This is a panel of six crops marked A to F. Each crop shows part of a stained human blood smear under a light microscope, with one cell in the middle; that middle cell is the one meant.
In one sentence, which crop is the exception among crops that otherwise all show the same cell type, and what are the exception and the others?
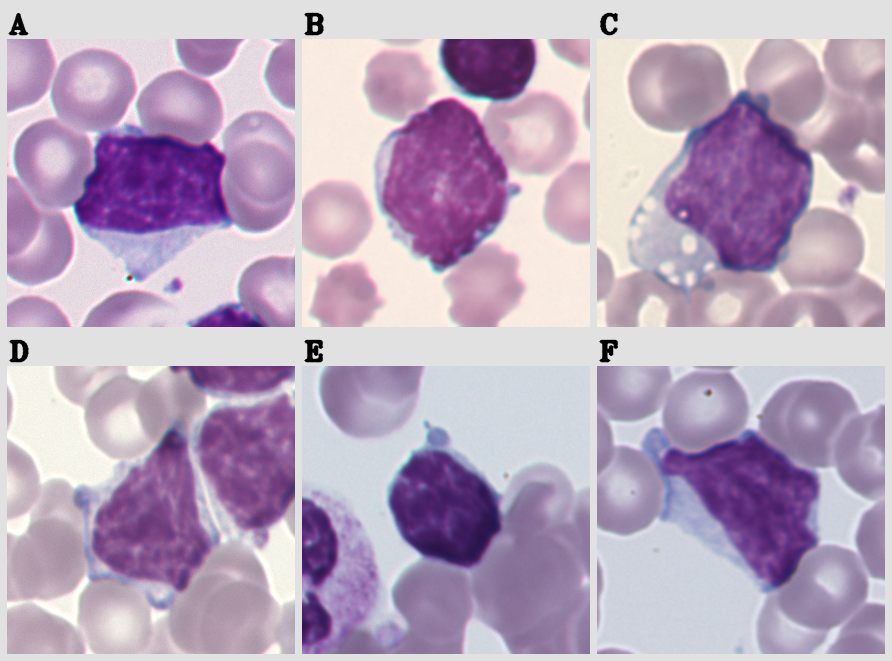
Where the others show typical lymphocytes, crop C shows a myeloblast.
